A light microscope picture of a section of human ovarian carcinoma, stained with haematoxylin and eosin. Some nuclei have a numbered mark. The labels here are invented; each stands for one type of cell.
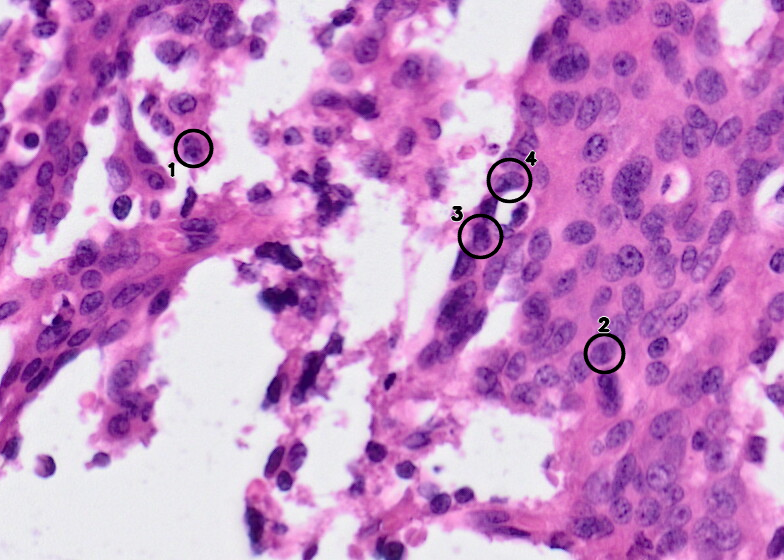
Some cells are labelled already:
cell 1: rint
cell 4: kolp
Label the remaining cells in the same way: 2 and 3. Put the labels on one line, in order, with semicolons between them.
kolp; kolp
